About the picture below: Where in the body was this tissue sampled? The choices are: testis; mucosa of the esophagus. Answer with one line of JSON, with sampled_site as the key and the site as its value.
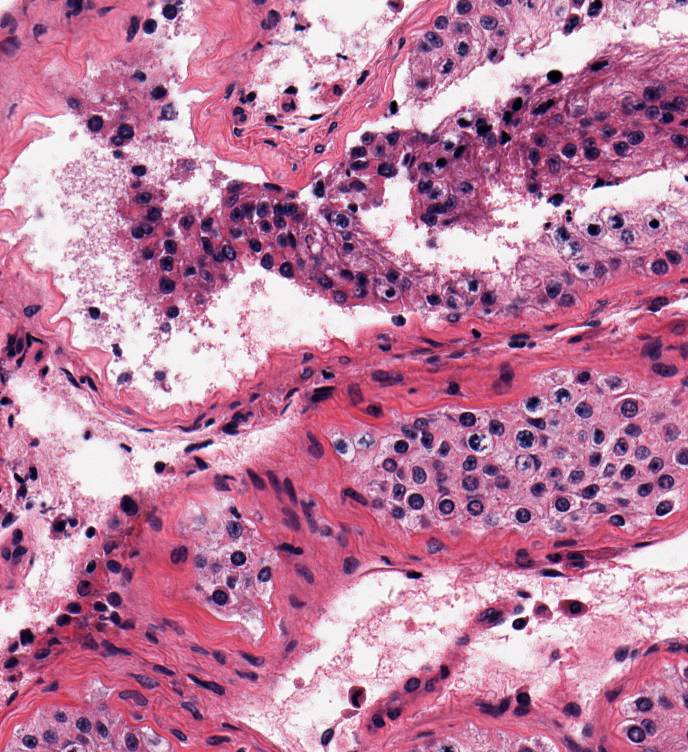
{"sampled_site": "testis"}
